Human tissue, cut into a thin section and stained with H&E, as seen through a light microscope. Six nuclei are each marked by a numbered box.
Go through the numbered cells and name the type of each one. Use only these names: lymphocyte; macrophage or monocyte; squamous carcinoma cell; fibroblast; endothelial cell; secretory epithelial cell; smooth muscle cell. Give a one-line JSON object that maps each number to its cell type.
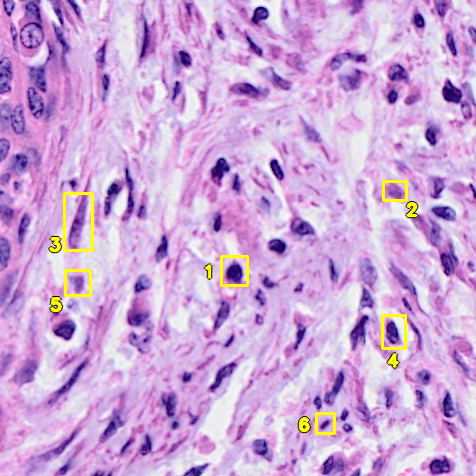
{"1": "lymphocyte", "2": "fibroblast", "3": "fibroblast", "4": "lymphocyte", "5": "fibroblast", "6": "fibroblast"}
